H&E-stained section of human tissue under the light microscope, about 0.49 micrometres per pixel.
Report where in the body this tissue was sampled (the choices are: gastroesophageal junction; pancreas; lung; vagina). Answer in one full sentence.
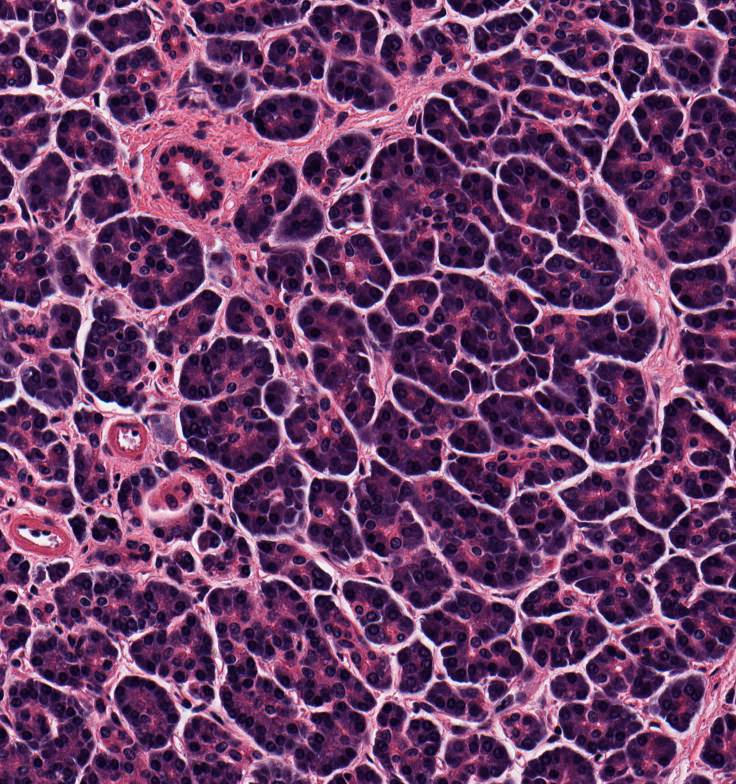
For this section, tissue was sampled from the pancreas.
